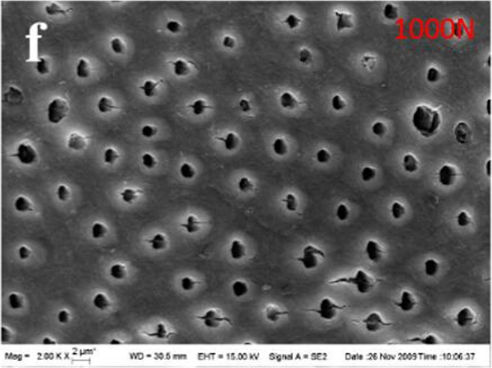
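This dentine surface shows the same field of round dark tubule openings, each with a brighter rim, set in a grey matrix. Many of the openings now have short thin dark cracks running out sideways from their edges, mostly in a roughly horizontal direction.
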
